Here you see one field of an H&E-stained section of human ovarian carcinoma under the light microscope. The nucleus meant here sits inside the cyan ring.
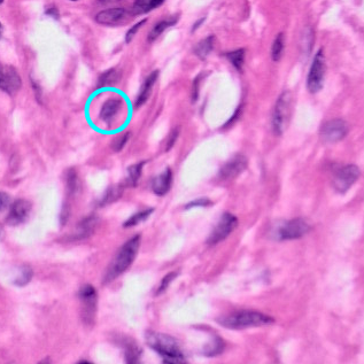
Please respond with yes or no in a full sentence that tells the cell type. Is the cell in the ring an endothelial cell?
No, the cell in the ring represents a fibroblast and does not represent an endothelial cell.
